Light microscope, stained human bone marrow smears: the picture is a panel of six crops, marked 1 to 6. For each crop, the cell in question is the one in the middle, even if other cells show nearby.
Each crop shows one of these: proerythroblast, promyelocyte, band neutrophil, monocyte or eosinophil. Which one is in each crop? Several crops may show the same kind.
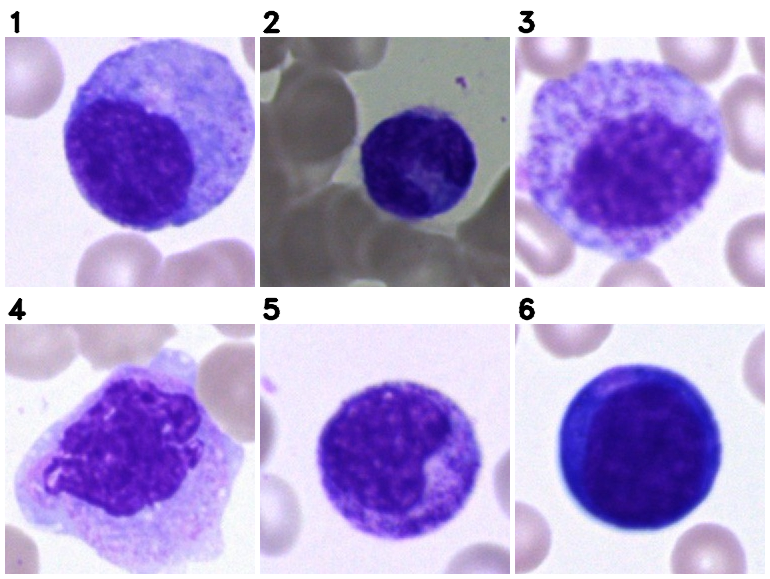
1: promyelocyte
2: monocyte
3: promyelocyte
4: monocyte
5: promyelocyte
6: proerythroblast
